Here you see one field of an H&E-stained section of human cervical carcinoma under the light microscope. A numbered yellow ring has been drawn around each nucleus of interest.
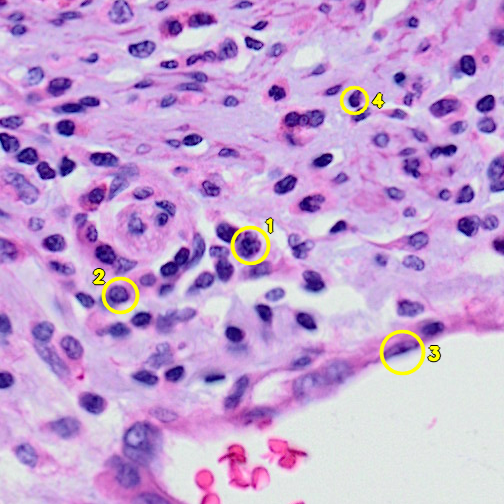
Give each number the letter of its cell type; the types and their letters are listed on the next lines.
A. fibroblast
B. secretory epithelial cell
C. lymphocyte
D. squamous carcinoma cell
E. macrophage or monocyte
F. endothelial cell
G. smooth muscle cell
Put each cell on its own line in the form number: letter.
1: C
2: C
3: F
4: C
